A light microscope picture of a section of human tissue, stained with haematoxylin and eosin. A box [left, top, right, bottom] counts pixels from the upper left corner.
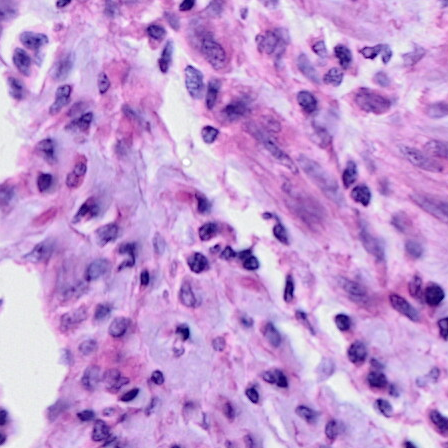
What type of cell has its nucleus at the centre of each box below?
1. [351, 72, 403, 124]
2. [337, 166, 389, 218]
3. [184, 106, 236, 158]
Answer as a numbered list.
1. macrophage or monocyte
2. lymphocyte
3. lymphocyte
